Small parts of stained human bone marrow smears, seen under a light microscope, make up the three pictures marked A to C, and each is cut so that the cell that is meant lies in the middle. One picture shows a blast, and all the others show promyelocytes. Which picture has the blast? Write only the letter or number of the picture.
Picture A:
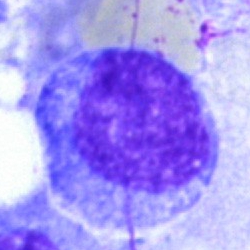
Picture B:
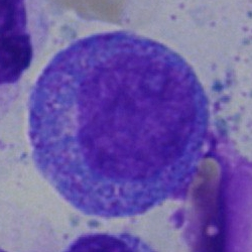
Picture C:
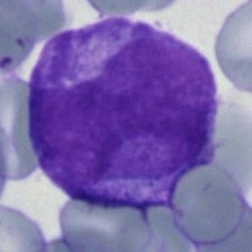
C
